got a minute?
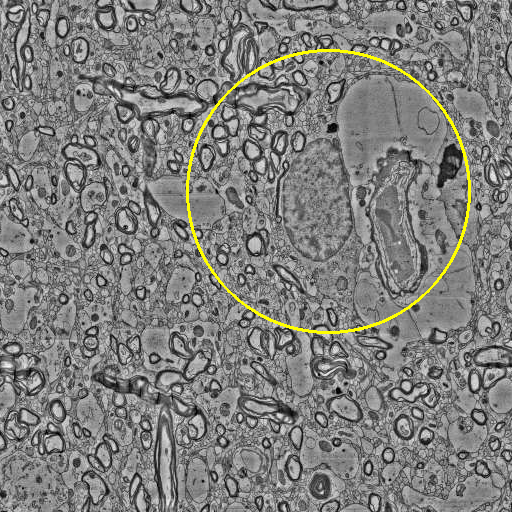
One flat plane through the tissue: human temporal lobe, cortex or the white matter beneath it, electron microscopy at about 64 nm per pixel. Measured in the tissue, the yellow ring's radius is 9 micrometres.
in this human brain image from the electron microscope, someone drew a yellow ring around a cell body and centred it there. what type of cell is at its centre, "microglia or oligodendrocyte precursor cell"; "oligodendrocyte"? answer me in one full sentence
It's an oligodendrocyte at the middle of that yellow ring in the shot.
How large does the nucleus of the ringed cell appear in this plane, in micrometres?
About 8 by 5 micrometers; the nucleus is clearly longer than it is wide in this plane.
